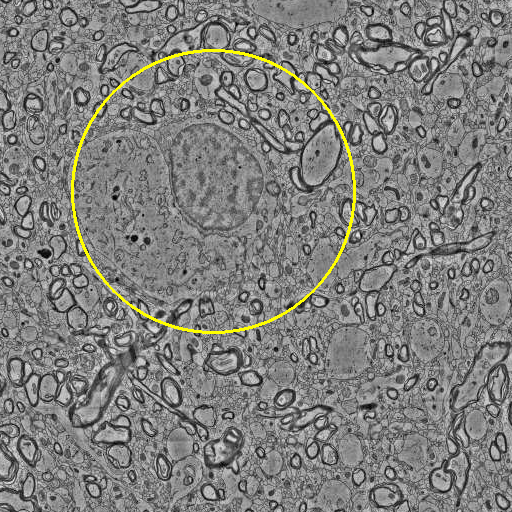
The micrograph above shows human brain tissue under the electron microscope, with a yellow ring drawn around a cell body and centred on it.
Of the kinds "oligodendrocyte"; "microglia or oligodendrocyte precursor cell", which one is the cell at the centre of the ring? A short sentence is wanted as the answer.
The one at the centre of the ring is an oligodendrocyte.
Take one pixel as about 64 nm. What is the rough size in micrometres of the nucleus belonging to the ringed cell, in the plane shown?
In this plane, roughly 7 by 6 micrometres.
